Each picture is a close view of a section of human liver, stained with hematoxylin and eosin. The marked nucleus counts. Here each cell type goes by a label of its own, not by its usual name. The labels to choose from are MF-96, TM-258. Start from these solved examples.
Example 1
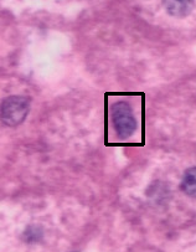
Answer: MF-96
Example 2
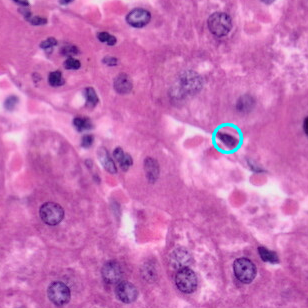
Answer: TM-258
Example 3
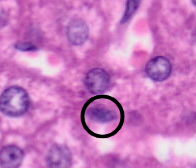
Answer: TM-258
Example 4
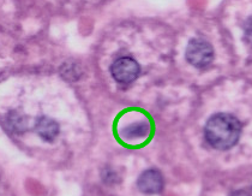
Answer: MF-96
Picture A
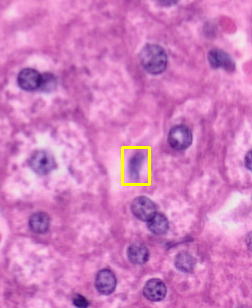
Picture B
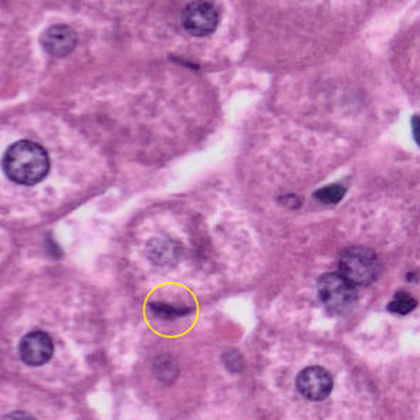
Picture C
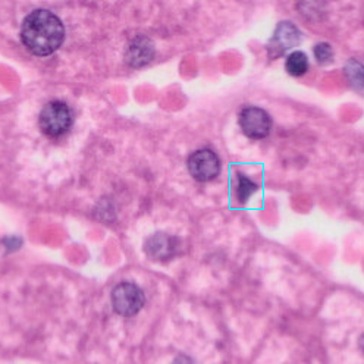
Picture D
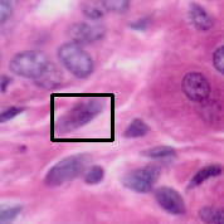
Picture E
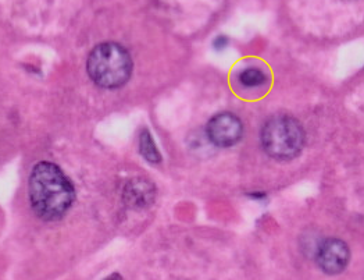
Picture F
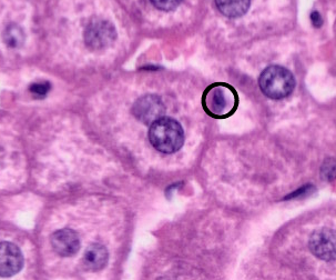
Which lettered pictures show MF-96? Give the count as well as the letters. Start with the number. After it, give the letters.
Count: 2 (A, F)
